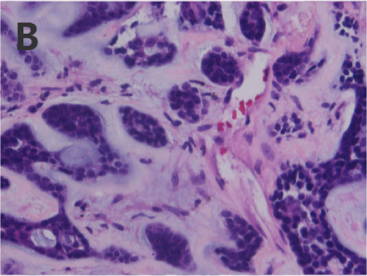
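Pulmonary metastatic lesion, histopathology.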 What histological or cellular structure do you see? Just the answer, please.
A: Tubular architecture.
